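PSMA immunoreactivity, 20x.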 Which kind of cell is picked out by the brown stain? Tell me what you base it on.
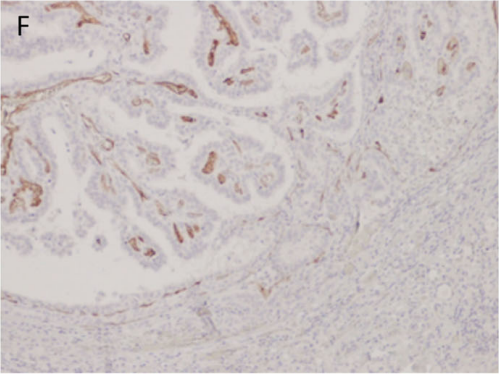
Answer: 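Endothelial cells. Brown stain lines thin tubular channels within the cores of the fronds and in the stroma. The stained channels are slender and branching, lining small vessel-like lumens. The covering epithelial cells on the fronds are unstained blue.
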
